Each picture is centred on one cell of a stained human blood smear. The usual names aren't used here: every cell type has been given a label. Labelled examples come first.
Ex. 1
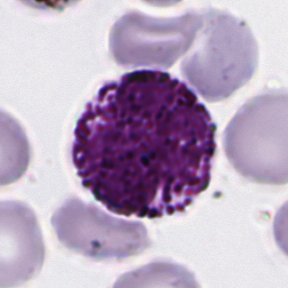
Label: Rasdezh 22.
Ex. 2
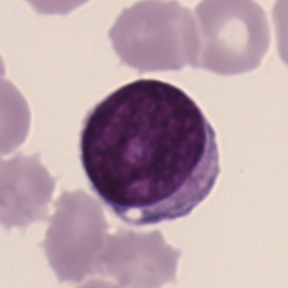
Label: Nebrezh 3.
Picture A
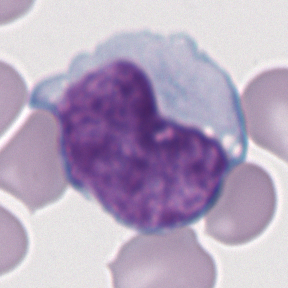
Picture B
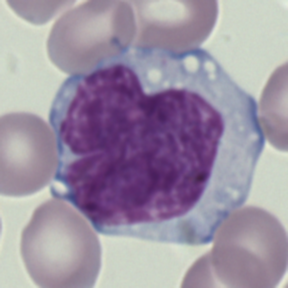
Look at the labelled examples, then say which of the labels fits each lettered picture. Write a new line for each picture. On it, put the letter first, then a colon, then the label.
A: Nebrezh 3.
B: Nebrezh 3.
